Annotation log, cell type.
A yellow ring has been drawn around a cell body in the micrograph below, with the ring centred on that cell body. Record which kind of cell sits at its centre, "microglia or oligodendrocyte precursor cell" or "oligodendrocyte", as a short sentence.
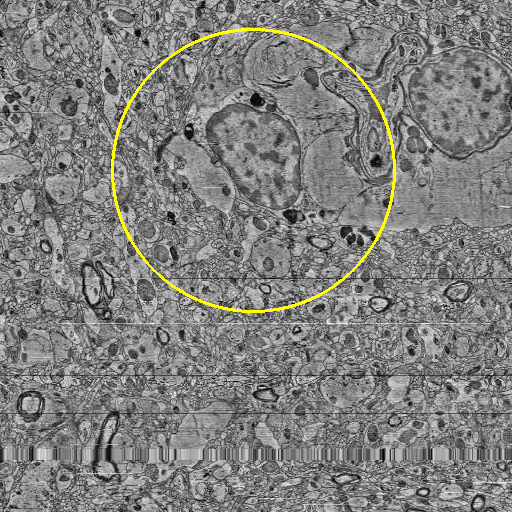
The cell at the centre of this ring is a microglial cell or oligodendrocyte precursor cell.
